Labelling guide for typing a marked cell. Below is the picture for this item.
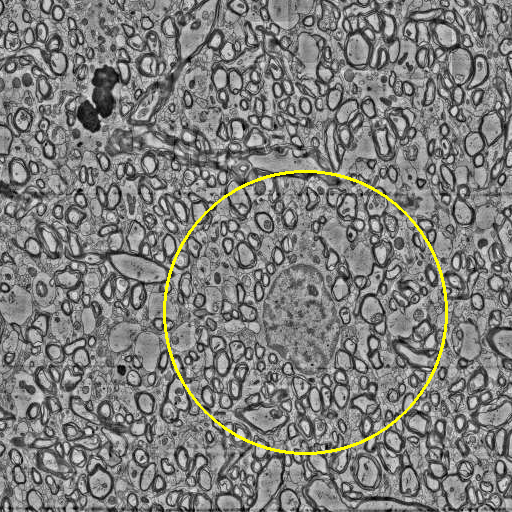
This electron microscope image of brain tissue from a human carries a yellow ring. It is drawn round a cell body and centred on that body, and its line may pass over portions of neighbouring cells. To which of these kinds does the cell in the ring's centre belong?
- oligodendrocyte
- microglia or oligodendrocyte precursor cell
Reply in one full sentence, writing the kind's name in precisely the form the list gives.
Here we have an oligodendrocyte at the centre of the yellow ring in the picture.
